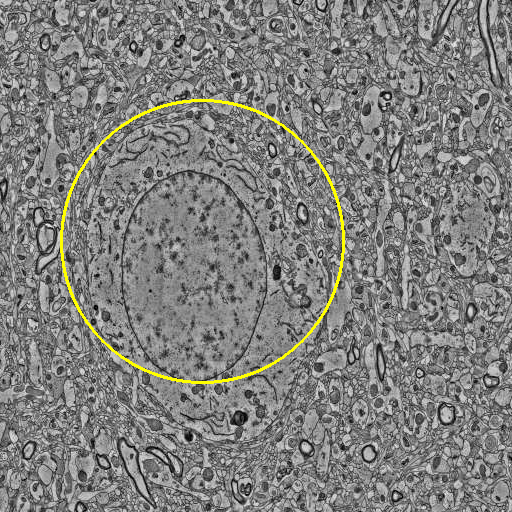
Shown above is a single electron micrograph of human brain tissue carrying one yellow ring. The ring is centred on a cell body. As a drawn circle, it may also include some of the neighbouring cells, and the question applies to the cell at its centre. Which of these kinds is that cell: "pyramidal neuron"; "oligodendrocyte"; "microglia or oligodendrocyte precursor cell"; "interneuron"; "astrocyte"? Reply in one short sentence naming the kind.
The cell marked by the ring is a pyramidal neuron.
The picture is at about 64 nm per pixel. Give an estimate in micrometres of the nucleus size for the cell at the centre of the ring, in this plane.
The nucleus is approximately 13 micrometers long by 9 micrometers wide in this plane.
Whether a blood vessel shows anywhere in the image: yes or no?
No.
